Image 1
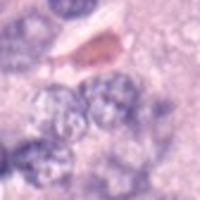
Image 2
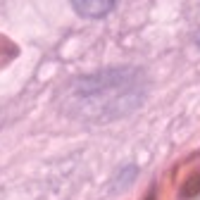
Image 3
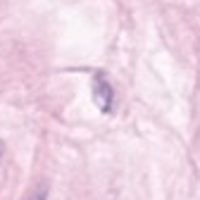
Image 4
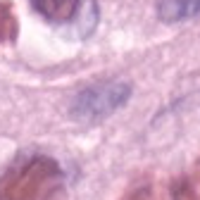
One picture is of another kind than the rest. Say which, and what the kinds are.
Picture 1 shows a syncytial knot; the rest show vascular myocytes.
